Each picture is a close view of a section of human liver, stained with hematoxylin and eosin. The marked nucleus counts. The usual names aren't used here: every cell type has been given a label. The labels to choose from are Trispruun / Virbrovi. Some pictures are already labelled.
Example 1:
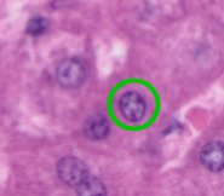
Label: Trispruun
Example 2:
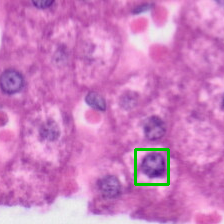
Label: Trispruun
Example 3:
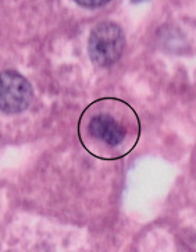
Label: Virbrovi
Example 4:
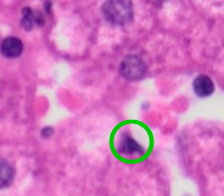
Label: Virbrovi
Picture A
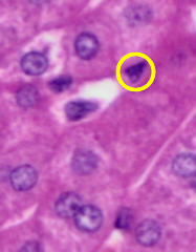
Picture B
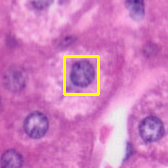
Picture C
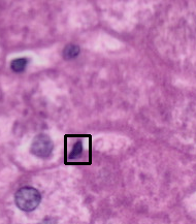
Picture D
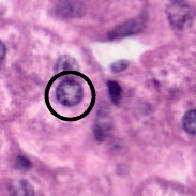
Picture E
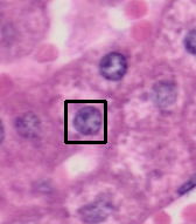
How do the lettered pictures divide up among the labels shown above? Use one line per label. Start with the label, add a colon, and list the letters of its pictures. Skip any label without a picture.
Trispruun: B, D, E
Virbrovi: A, C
